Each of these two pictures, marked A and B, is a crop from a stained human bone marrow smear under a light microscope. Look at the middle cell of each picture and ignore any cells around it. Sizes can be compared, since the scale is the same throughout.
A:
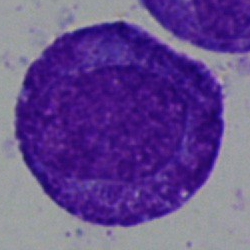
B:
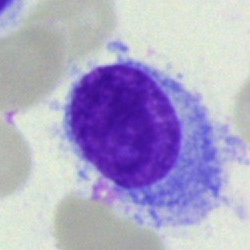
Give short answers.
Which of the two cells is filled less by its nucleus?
B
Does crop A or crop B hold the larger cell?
A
